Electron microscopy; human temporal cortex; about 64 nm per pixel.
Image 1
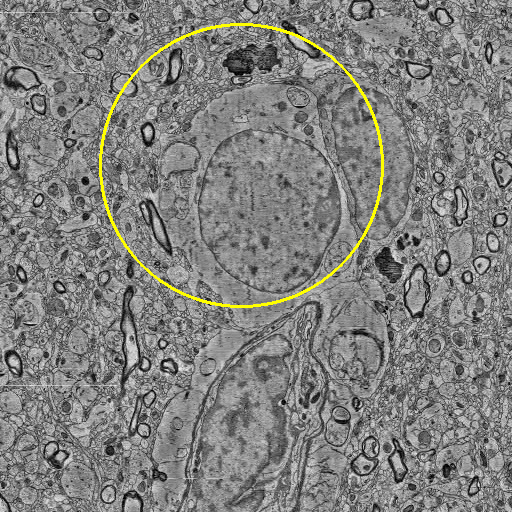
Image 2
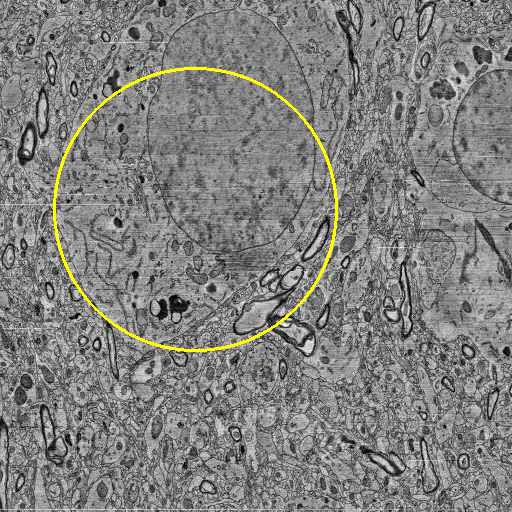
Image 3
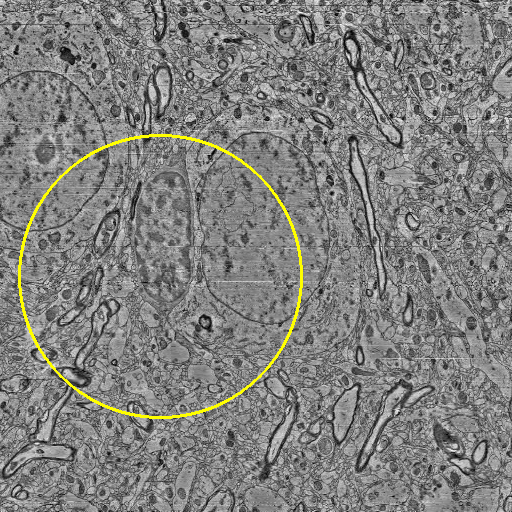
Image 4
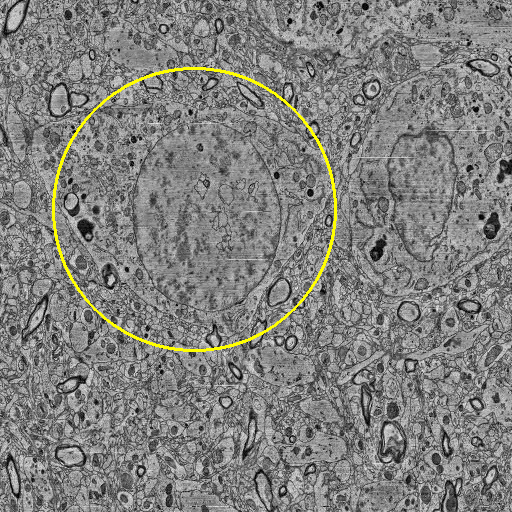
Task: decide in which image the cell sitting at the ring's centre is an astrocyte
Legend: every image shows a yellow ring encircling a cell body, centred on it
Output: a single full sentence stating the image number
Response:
In image 1, the cell at the middle of the ring is the match.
